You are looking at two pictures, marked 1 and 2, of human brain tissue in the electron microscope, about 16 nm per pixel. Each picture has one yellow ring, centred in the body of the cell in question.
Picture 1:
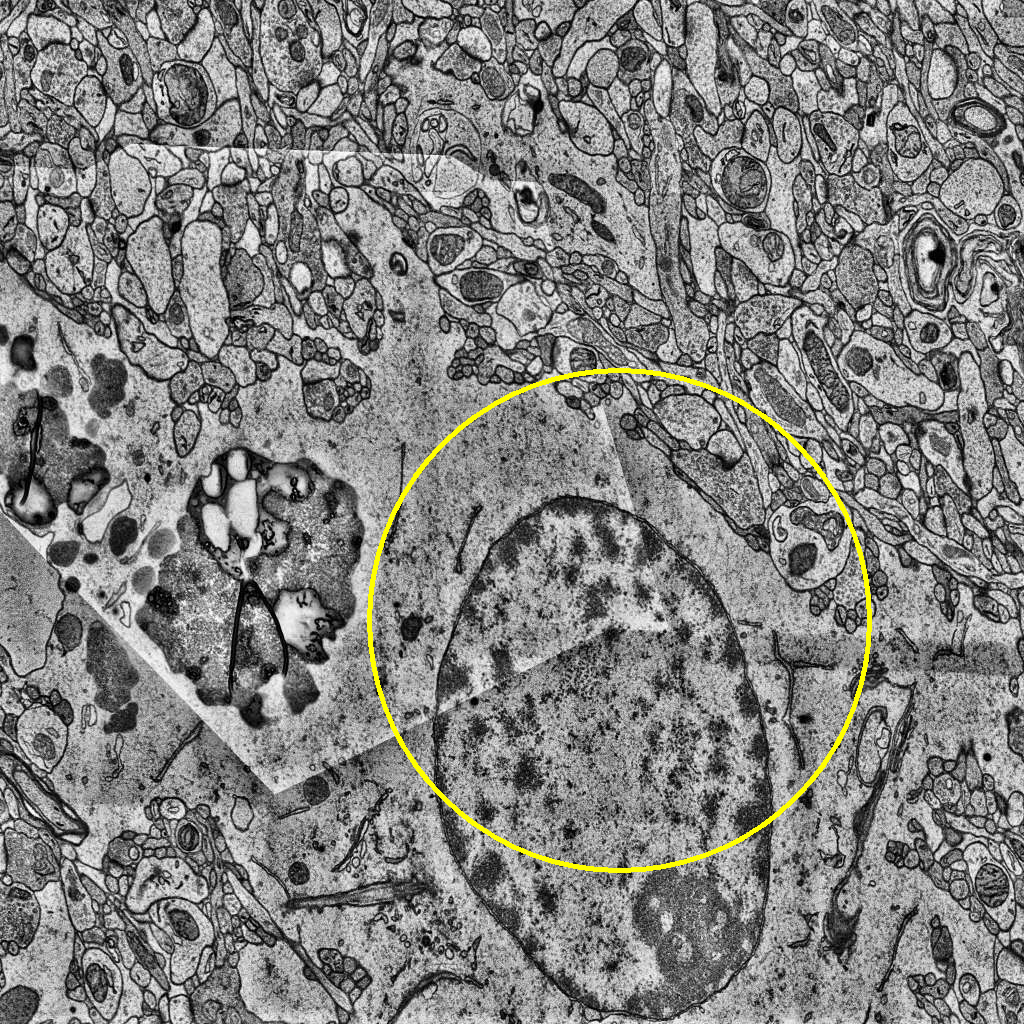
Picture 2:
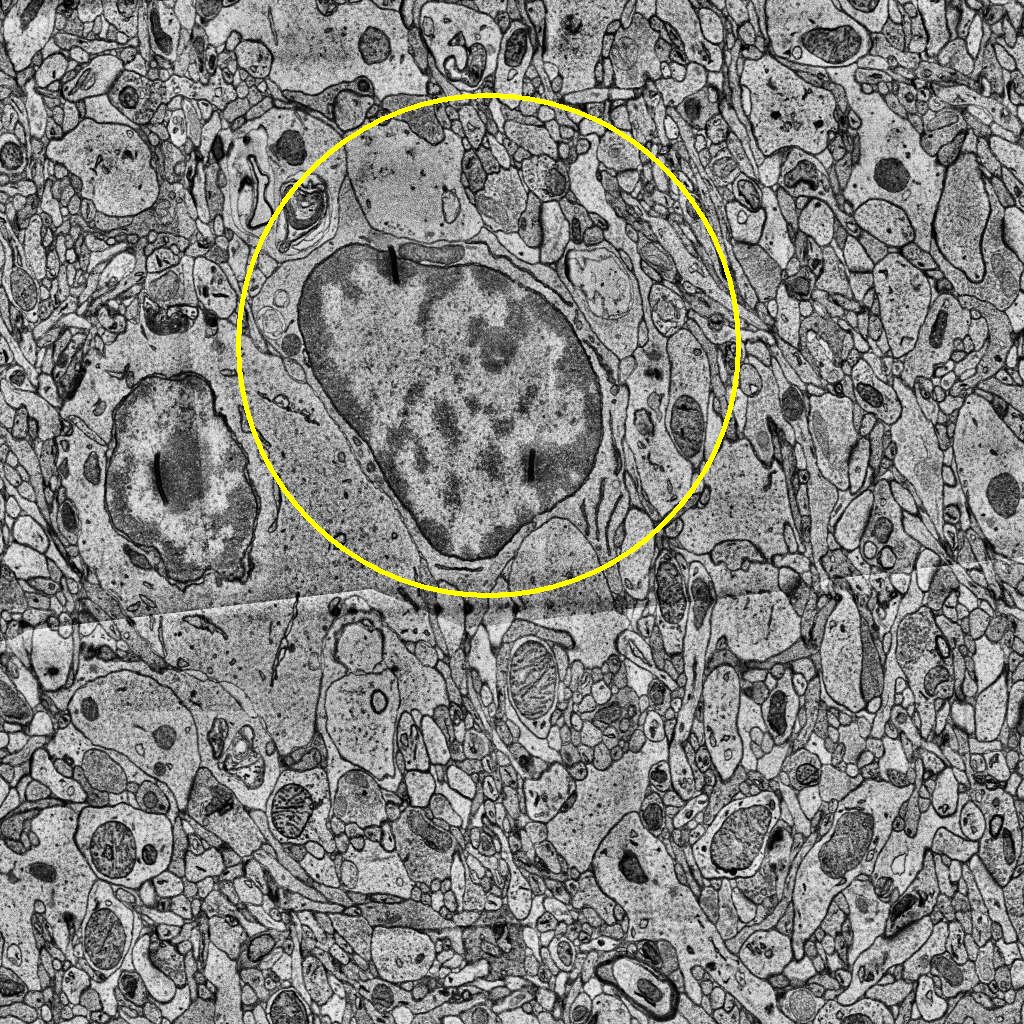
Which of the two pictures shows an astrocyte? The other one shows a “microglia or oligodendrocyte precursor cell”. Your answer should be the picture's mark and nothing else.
1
